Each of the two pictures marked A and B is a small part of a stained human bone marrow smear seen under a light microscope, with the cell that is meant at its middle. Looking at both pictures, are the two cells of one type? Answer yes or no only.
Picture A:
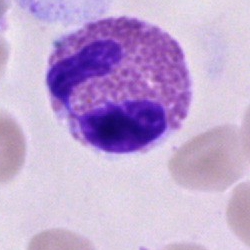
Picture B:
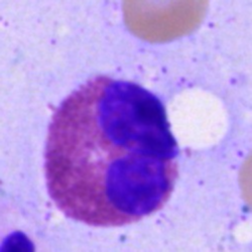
yes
